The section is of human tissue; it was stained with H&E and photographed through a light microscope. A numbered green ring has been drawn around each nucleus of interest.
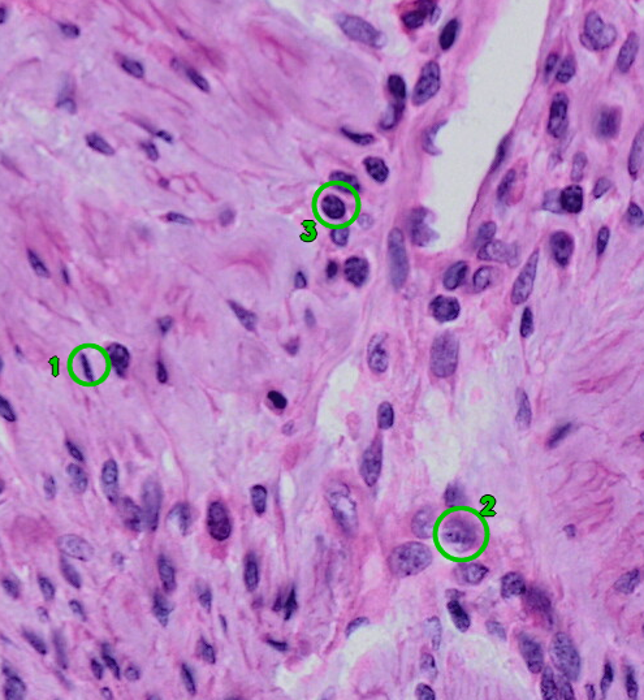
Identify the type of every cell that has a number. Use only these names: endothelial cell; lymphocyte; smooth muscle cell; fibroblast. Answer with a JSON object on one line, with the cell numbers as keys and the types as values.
{"1": "fibroblast", "2": "endothelial cell", "3": "lymphocyte"}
